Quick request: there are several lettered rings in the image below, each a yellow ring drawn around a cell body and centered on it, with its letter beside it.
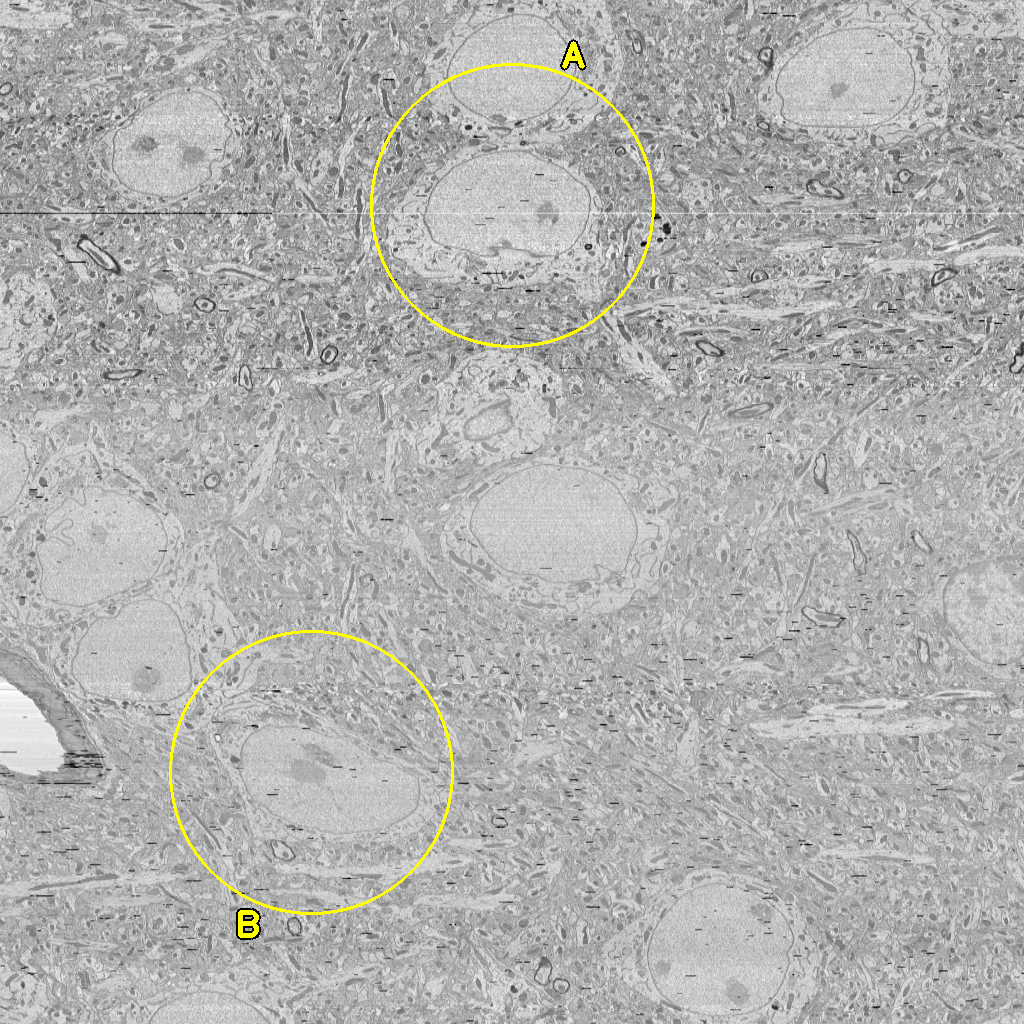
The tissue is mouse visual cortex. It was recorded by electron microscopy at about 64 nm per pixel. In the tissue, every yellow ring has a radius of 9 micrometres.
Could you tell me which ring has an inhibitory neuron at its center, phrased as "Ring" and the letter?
Ring B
